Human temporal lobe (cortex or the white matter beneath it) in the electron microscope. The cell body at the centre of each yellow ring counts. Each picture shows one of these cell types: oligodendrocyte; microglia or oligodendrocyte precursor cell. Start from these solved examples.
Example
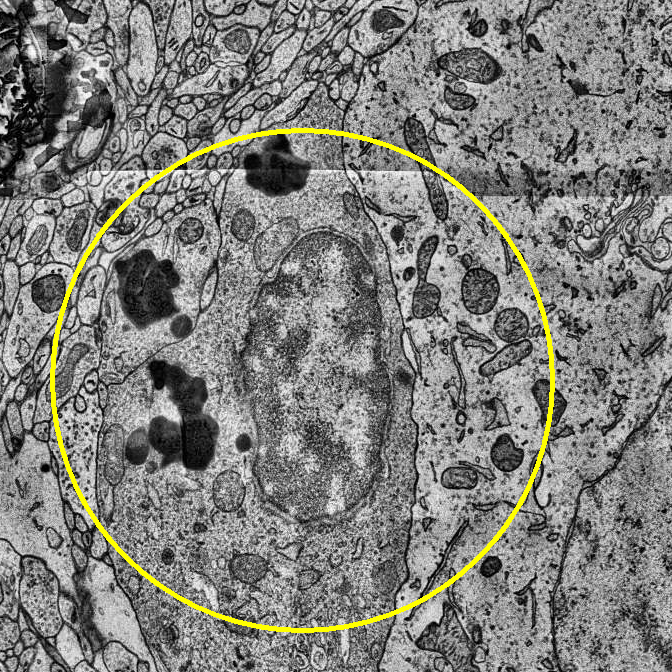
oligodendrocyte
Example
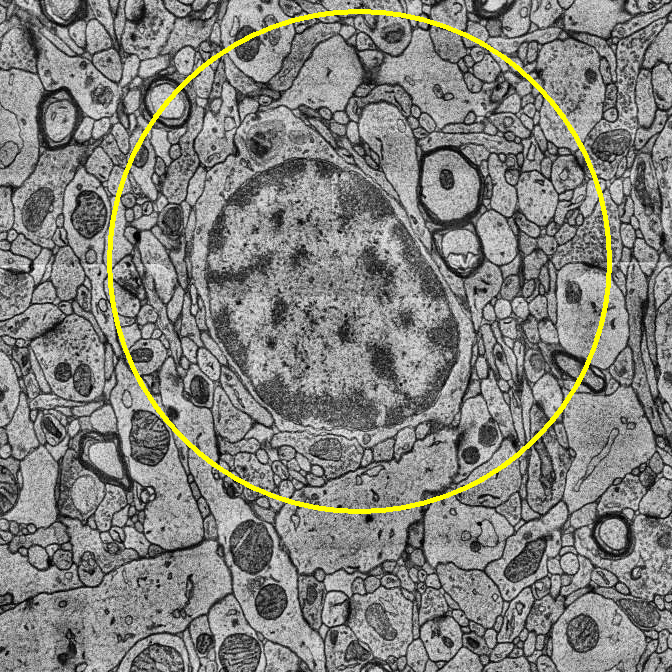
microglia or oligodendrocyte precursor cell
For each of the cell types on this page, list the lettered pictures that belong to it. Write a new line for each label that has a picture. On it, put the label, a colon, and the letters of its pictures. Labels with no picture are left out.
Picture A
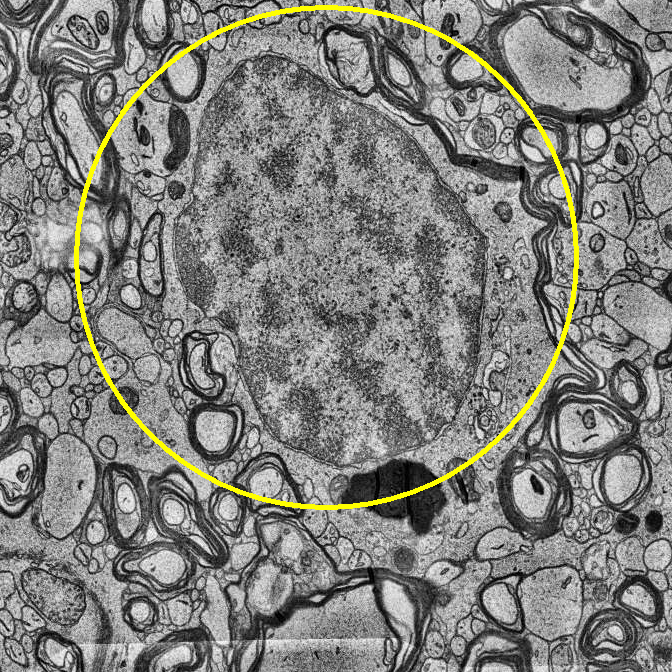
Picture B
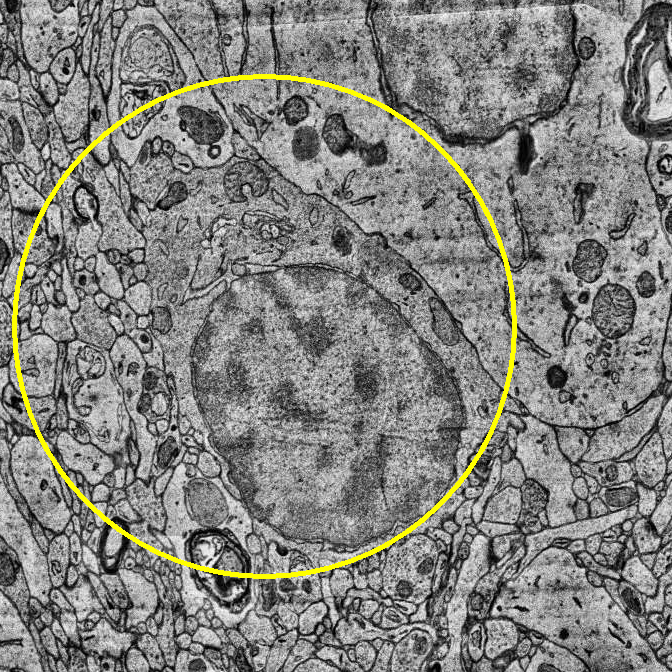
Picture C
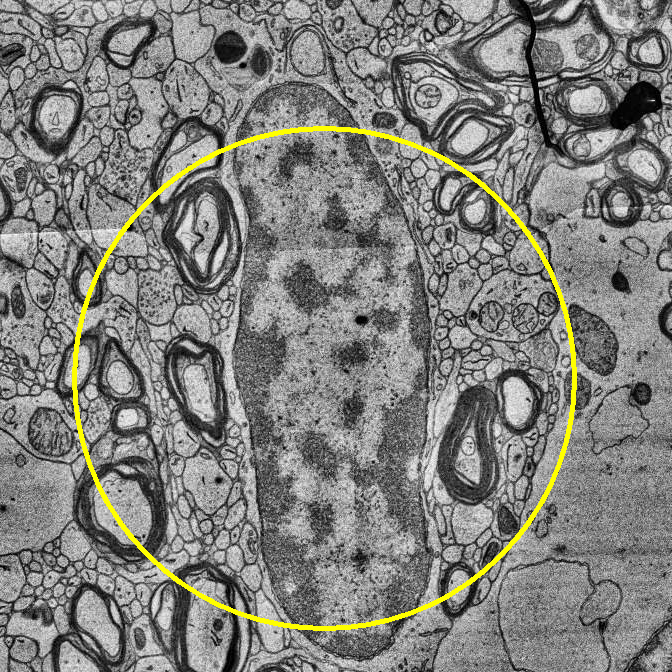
oligodendrocyte: A, B
microglia or oligodendrocyte precursor cell: C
